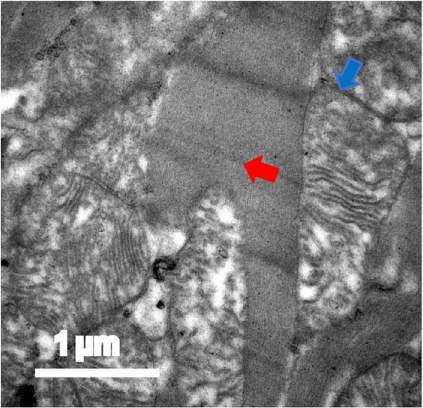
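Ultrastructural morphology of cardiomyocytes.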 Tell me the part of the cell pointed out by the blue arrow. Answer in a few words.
mitochondria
